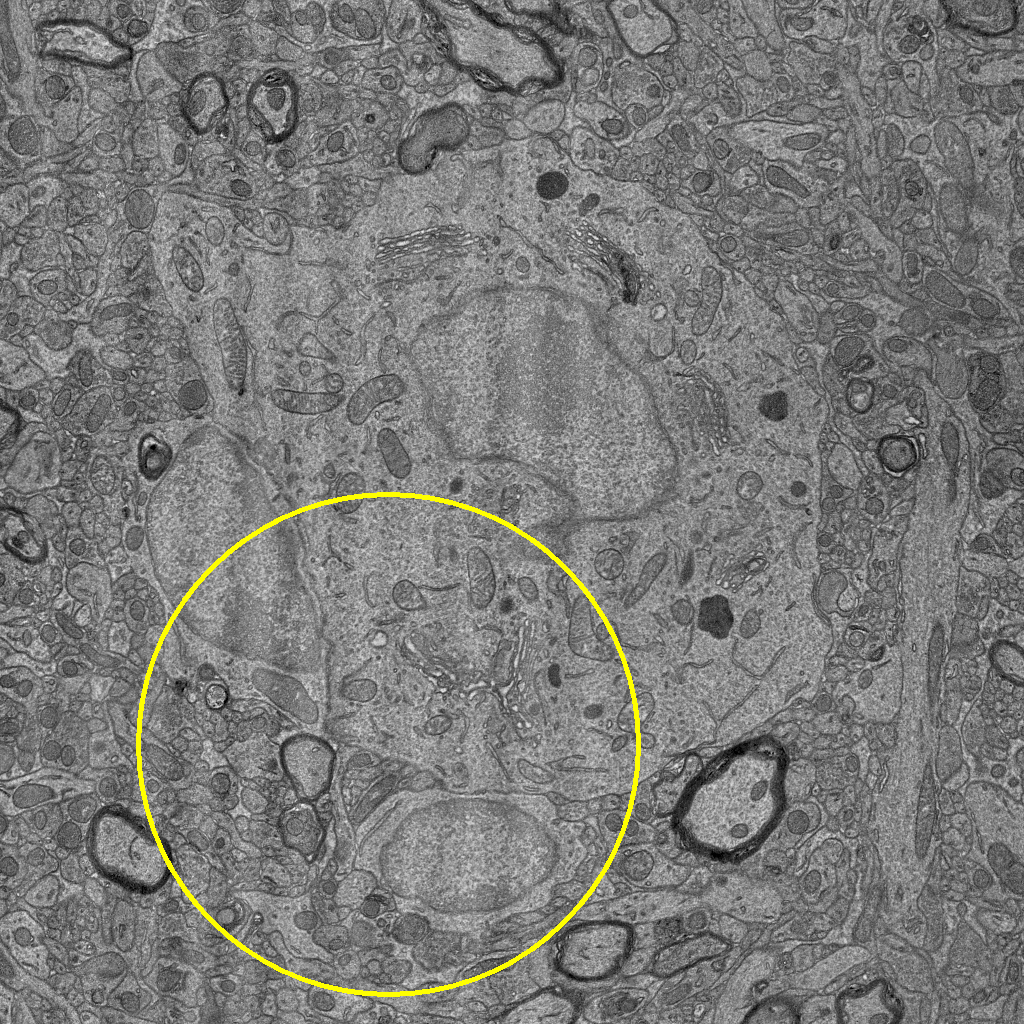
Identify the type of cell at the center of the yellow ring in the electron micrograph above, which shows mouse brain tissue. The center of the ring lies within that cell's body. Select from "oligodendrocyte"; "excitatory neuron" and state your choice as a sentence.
The center of the yellow ring lies in the body of an oligodendrocyte.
